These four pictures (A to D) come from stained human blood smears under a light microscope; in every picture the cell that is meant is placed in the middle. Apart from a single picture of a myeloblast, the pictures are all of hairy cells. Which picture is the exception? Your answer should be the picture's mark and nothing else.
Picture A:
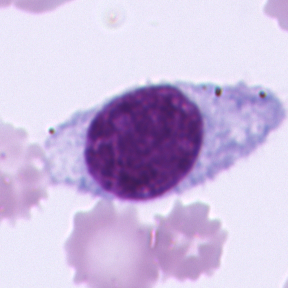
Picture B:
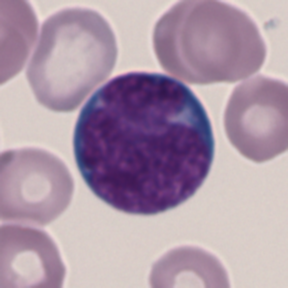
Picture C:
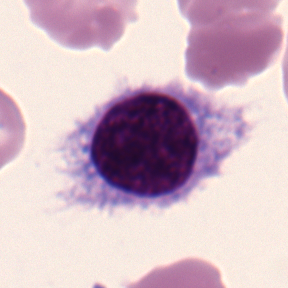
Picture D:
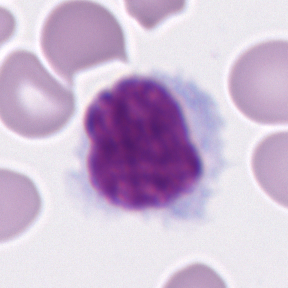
B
